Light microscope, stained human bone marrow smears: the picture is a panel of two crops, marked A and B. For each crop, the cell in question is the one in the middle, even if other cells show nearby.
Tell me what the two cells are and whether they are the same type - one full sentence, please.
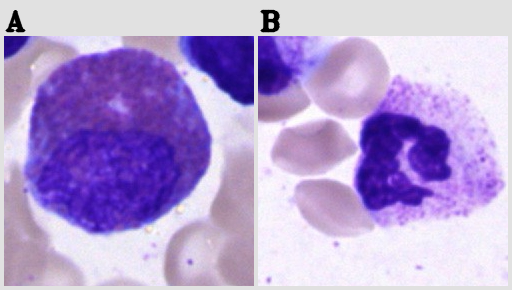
No, an eosinophil is centred in crop A, and a segmented neutrophil is centred in crop B.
